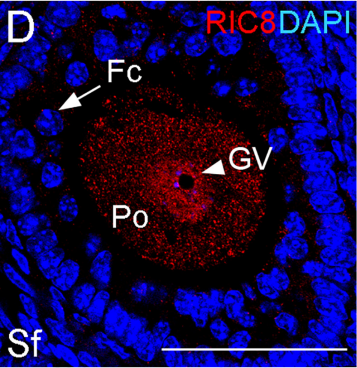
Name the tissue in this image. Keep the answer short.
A: Ovary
